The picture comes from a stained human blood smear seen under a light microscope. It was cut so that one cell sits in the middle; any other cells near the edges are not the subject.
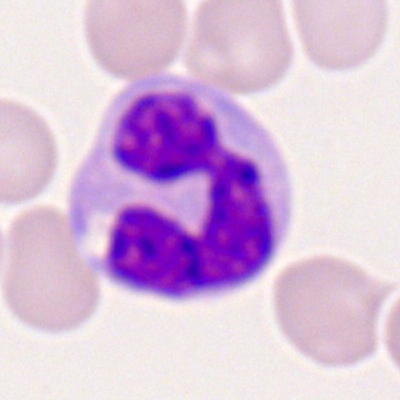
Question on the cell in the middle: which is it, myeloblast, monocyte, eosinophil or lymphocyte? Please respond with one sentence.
What sits at the centre of this crop is a monocyte.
